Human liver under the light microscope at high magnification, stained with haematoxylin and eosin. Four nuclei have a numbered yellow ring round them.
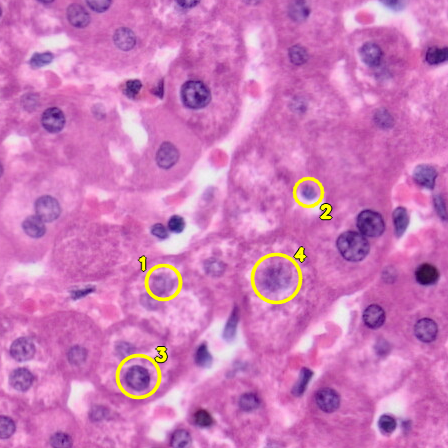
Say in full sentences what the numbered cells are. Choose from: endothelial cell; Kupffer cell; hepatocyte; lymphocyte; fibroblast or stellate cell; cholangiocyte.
Cell 1 is a hepatocyte, cell 2 is a lymphocyte, cell 3 is a hepatocyte and cell 4 is a hepatocyte.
